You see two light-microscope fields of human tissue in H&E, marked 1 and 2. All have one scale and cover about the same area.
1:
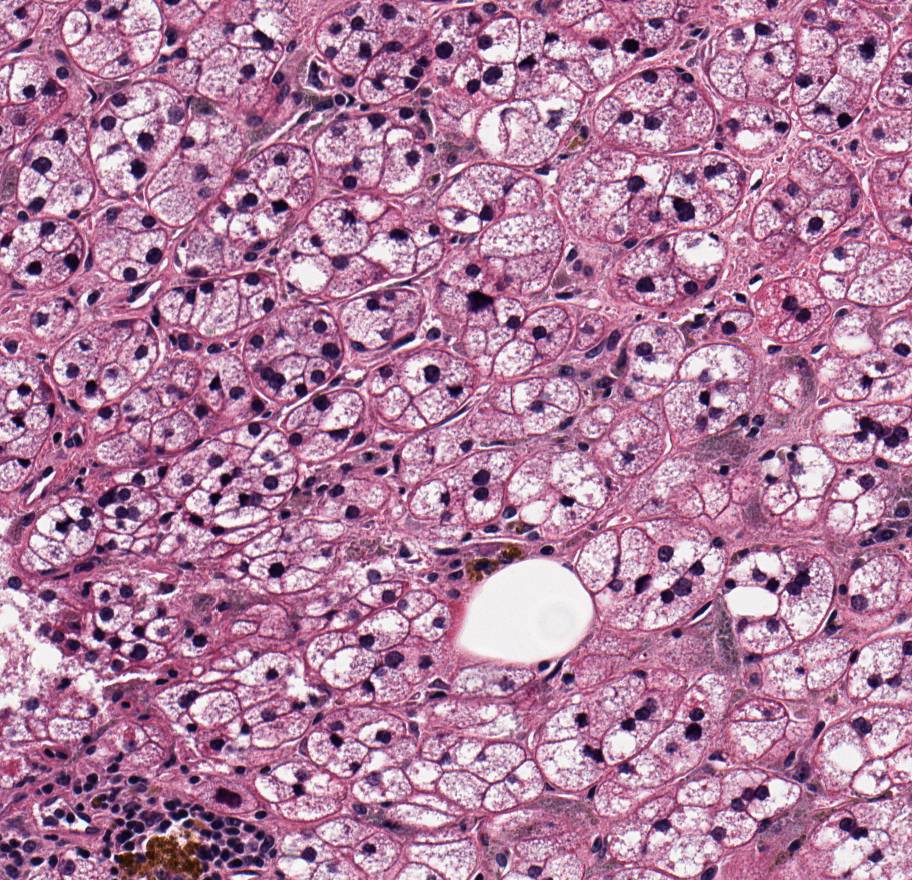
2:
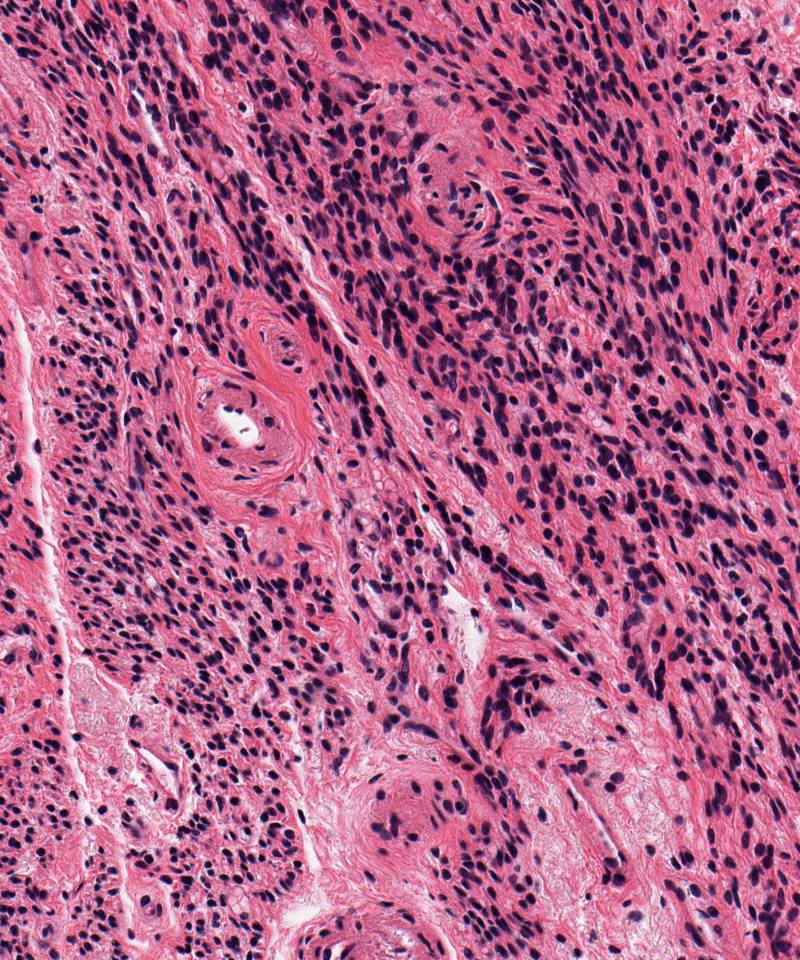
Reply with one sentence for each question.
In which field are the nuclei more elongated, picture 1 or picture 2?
On the whole the nuclei of picture 2 are more drawn out than those of picture 1.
